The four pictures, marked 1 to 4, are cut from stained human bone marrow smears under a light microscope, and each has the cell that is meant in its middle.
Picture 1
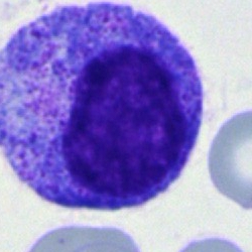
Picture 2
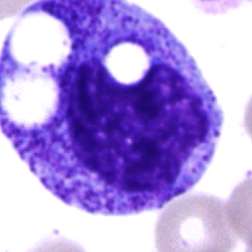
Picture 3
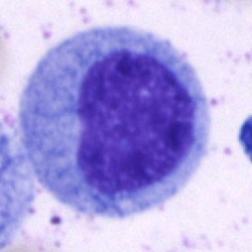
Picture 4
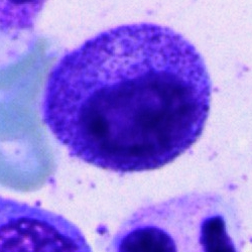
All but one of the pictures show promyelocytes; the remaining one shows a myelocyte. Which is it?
4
